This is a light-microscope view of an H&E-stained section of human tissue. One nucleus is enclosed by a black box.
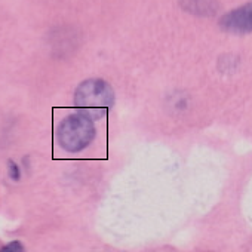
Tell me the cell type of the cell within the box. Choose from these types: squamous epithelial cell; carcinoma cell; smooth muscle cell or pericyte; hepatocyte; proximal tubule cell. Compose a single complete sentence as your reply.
Students should answer that the cell within the box is a proximal tubule cell.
